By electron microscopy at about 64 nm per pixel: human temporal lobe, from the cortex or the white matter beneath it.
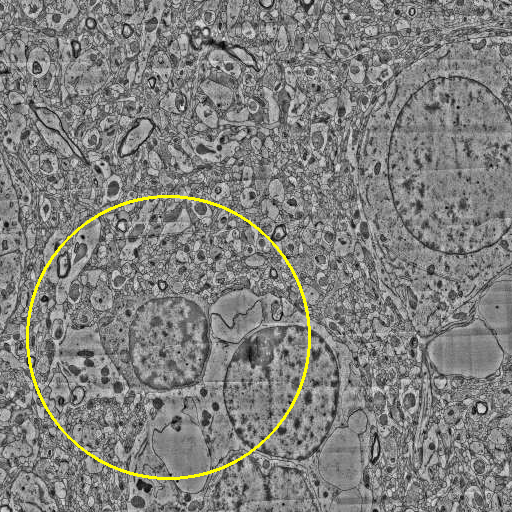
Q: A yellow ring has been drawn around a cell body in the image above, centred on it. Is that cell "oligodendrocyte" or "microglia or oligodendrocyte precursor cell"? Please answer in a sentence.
The ring surrounds the cell body of an oligodendrocyte.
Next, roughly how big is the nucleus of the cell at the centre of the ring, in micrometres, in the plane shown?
The nucleus appears about 6 micrometres across in this plane.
